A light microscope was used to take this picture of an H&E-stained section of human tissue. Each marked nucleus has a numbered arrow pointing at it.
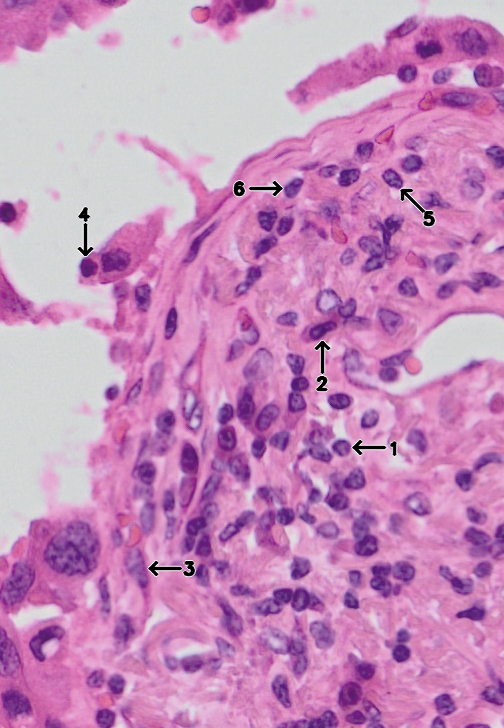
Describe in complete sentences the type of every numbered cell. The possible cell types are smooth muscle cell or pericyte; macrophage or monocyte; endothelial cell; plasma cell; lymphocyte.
Cell 1 is a lymphocyte, cell 2 is a plasma cell, cell 3 is an endothelial cell, cell 4 is a lymphocyte, cell 5 is a lymphocyte and cell 6 is a lymphocyte.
